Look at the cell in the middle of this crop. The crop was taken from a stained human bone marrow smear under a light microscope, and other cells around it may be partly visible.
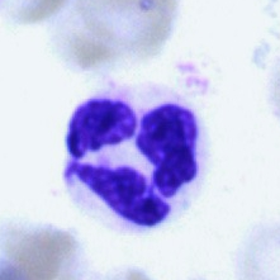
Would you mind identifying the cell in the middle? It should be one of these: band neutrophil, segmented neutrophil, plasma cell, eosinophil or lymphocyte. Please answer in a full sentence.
In short, the cell at the center is a segmented neutrophil.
